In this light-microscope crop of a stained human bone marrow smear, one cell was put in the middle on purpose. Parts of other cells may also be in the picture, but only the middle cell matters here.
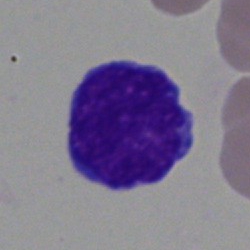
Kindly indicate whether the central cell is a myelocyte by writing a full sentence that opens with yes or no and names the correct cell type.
No, the cell in the middle is a blast; it is not a myelocyte.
